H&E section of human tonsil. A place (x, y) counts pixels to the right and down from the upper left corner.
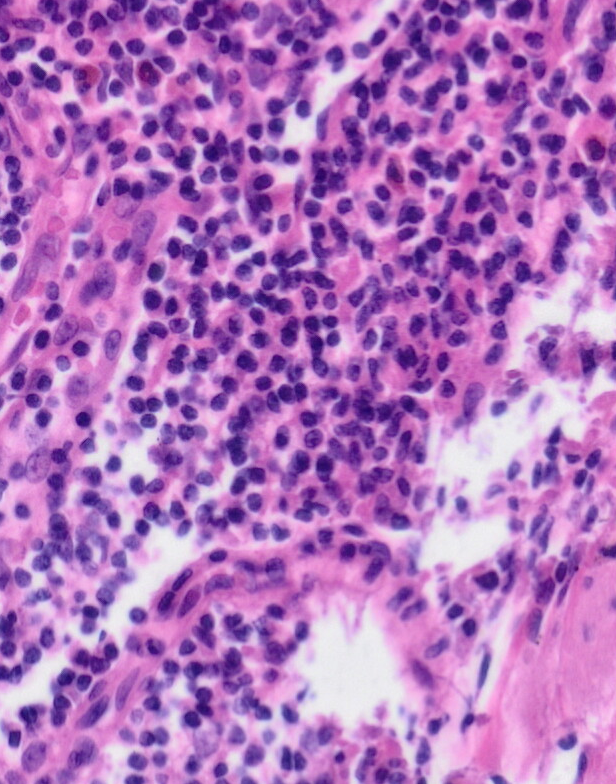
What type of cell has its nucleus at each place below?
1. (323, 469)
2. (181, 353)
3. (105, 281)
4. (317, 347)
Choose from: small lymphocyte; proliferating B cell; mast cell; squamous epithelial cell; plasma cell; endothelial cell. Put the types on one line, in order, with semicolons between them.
small lymphocyte; small lymphocyte; endothelial cell; small lymphocyte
